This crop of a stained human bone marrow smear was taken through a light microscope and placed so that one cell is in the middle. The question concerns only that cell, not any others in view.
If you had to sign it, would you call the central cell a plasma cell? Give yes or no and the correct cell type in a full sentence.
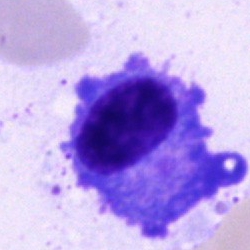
Yes, the cell centred in the field of view is a plasma cell.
